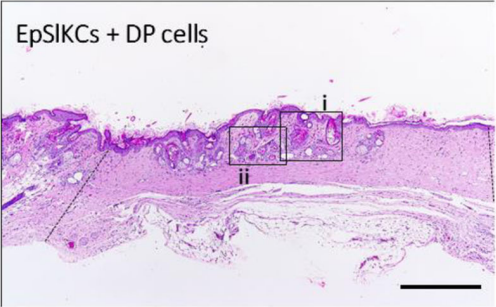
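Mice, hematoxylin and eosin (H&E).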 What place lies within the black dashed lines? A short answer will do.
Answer: The wound area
